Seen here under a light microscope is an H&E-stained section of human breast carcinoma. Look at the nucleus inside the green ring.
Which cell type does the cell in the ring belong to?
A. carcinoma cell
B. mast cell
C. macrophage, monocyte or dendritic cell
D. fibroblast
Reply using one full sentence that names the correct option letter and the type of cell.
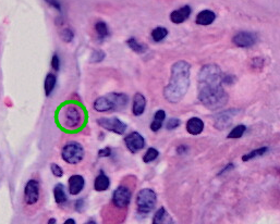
Hey, it is option B: the cell in the ring is a mast cell.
